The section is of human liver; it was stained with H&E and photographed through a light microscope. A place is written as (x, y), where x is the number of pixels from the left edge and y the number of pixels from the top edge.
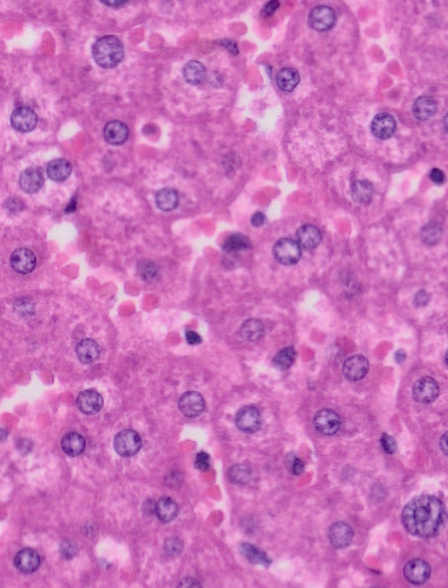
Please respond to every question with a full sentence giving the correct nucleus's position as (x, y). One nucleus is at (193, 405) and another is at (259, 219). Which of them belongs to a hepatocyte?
Identify the nucleus at (193, 405) as the one belonging to a hepatocyte.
